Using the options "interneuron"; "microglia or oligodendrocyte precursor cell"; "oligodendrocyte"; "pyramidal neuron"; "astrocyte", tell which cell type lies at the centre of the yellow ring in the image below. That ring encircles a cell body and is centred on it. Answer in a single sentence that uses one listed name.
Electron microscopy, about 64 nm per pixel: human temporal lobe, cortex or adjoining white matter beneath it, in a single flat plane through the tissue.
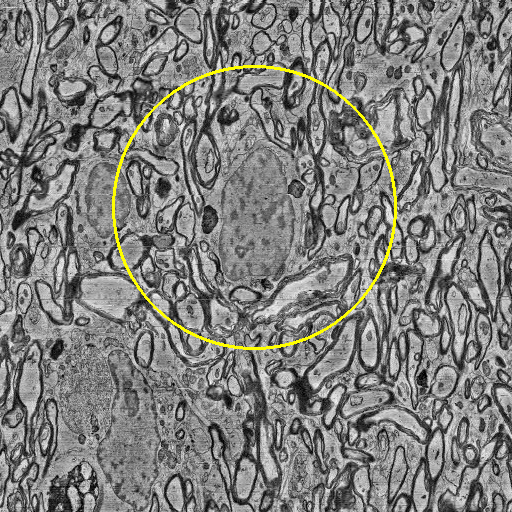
At the centre of the yellow ring lies the body of an oligodendrocyte.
